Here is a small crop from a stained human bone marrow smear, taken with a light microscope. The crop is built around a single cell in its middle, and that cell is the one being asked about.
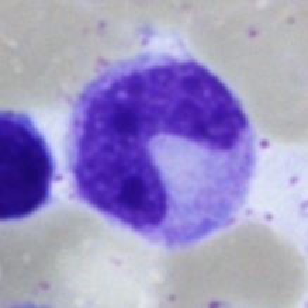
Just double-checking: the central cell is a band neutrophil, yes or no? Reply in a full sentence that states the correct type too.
Yes, the middle cell in this crop is a band neutrophil.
